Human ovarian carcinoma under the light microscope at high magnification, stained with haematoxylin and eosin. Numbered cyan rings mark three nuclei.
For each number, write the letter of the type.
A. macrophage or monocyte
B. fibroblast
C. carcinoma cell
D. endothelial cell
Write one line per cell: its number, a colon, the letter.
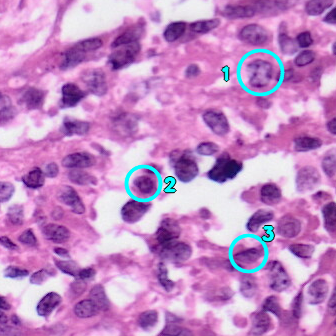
1: A
2: C
3: C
